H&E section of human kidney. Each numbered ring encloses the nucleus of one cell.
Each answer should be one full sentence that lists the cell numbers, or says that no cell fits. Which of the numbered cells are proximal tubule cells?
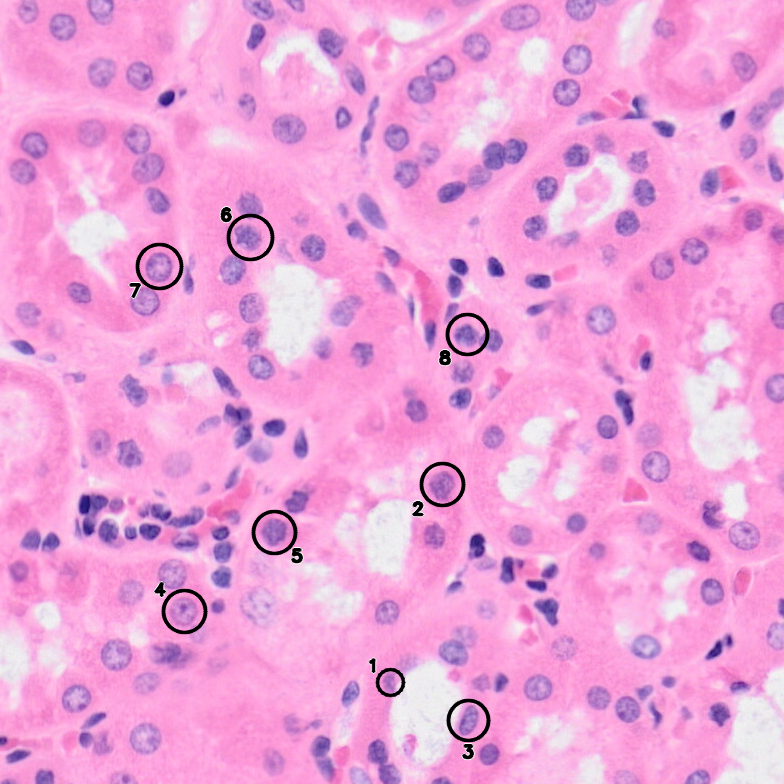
The cells marked with the numbers 2, 4, 5 and 7 are proximal tubule cells.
